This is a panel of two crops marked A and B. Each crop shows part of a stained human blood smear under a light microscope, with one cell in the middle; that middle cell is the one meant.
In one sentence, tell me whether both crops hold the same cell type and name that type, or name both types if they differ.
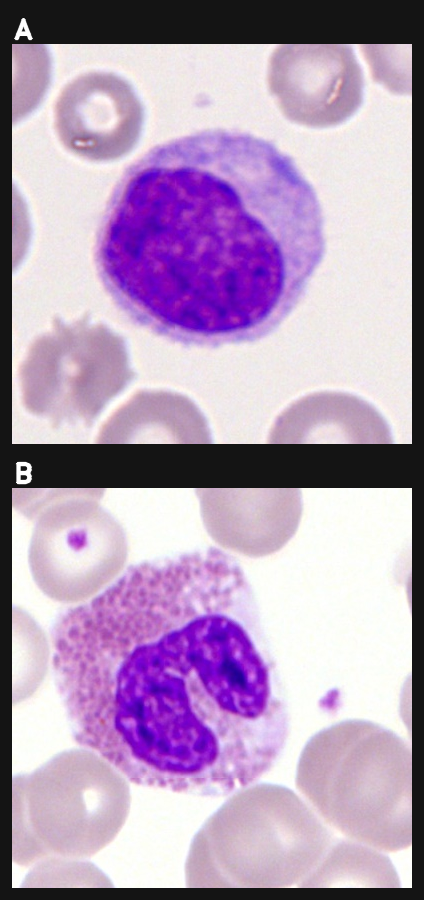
No, whereas crop A shows a monocyte, crop B shows an eosinophil.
